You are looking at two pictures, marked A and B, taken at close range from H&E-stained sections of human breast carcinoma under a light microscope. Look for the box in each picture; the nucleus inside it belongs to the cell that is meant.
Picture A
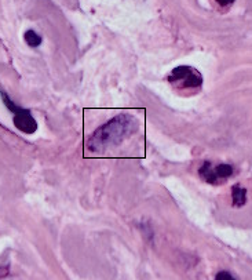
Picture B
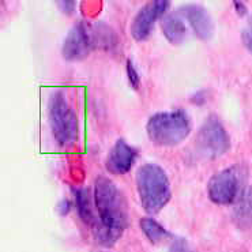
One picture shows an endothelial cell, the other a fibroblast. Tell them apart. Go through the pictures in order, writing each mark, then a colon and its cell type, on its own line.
A: fibroblast
B: endothelial cell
